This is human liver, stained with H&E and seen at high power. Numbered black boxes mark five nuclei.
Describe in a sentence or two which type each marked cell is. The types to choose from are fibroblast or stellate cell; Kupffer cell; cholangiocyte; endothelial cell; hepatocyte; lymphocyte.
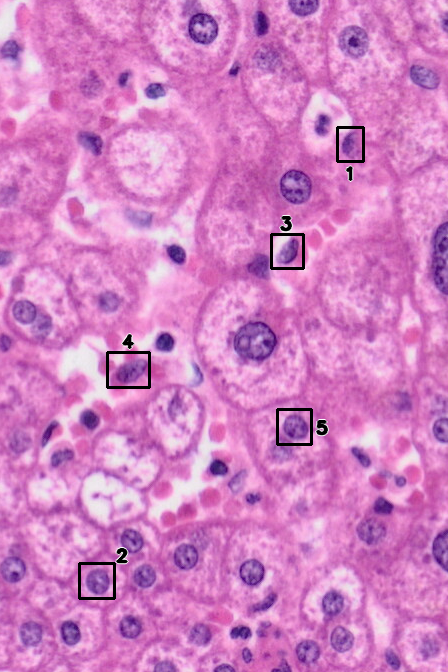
Cell 1 is an endothelial cell, cell 2 is a hepatocyte, cell 3 is a Kupffer cell, cell 4 is a Kupffer cell and cell 5 is a hepatocyte.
